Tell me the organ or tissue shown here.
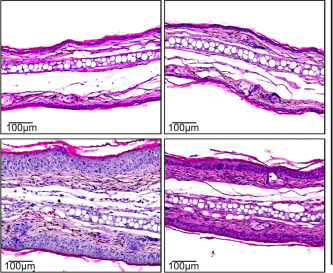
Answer: Ear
